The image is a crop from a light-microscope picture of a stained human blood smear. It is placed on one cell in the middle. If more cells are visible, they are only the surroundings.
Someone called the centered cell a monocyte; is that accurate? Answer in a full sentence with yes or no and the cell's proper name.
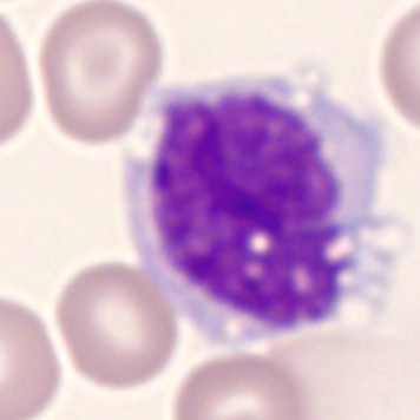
Yes, that middle cell in the crop is a monocyte.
